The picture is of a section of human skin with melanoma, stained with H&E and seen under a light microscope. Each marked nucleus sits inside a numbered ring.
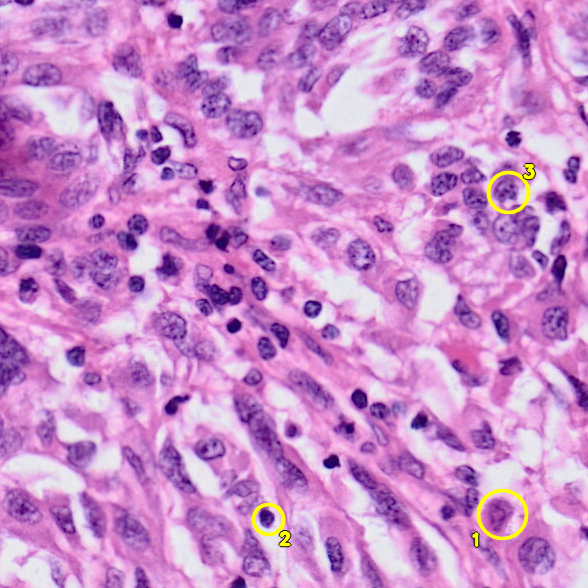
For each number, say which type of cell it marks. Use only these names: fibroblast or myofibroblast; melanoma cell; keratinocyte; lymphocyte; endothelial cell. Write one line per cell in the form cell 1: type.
cell 1: melanoma cell
cell 2: lymphocyte
cell 3: melanoma cell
